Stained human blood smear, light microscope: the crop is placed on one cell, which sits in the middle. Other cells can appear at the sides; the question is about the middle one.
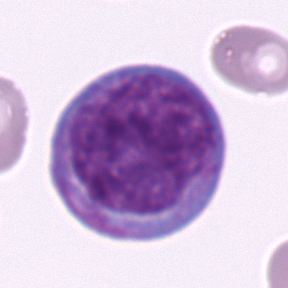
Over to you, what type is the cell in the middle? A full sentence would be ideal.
By type, the central cell of the crop is an atypical promyelocyte.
